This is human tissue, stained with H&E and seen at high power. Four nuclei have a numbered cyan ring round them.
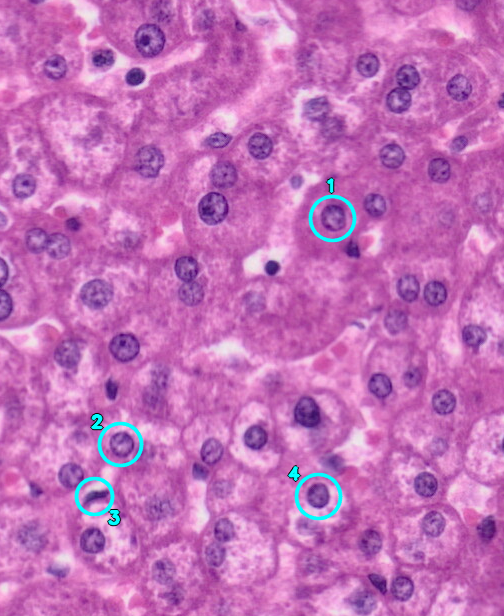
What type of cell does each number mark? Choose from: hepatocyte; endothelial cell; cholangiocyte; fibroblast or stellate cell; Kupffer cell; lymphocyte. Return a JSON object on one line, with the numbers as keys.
{"1": "hepatocyte", "2": "hepatocyte", "3": "endothelial cell", "4": "hepatocyte"}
